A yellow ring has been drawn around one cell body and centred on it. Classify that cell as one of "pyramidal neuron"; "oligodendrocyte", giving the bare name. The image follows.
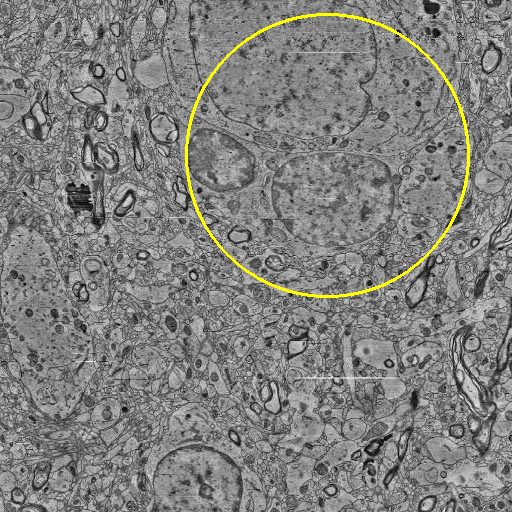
oligodendrocyte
